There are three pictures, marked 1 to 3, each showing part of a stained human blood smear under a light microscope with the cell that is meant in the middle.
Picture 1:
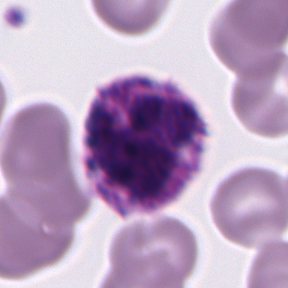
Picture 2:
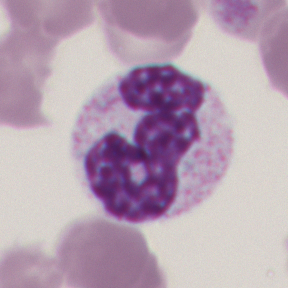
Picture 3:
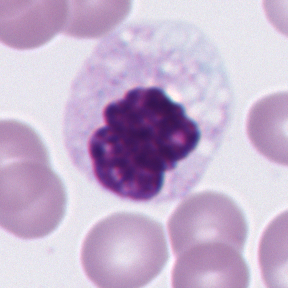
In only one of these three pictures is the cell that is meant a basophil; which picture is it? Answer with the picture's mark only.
1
